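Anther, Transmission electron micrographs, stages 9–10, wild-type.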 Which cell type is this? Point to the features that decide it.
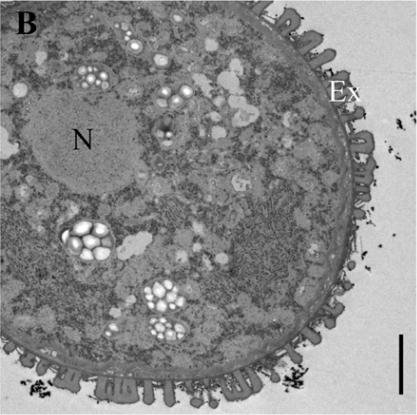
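A single large round cell fills the panel. Its surface carries a sculptured wall of regularly spaced projecting columns. A large nucleus and dense cytoplasm with clustered vesicles lie inside.
Answer: Microspores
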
